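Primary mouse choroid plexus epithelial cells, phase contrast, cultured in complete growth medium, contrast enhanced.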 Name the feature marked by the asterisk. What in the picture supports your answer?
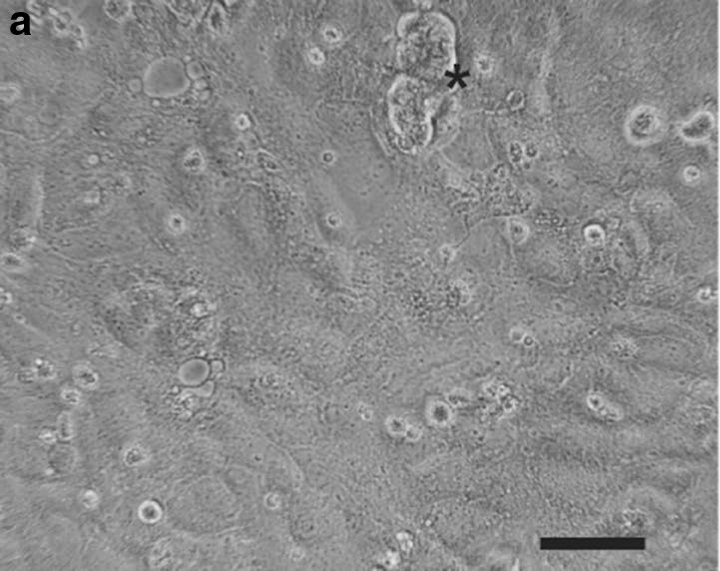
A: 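Next to the asterisk lies a compact, raised, lobed clump with bright refractile edges. The clump stands out against the surrounding flat cell sheet.
Conclusion: unprocessed tissue remnants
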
